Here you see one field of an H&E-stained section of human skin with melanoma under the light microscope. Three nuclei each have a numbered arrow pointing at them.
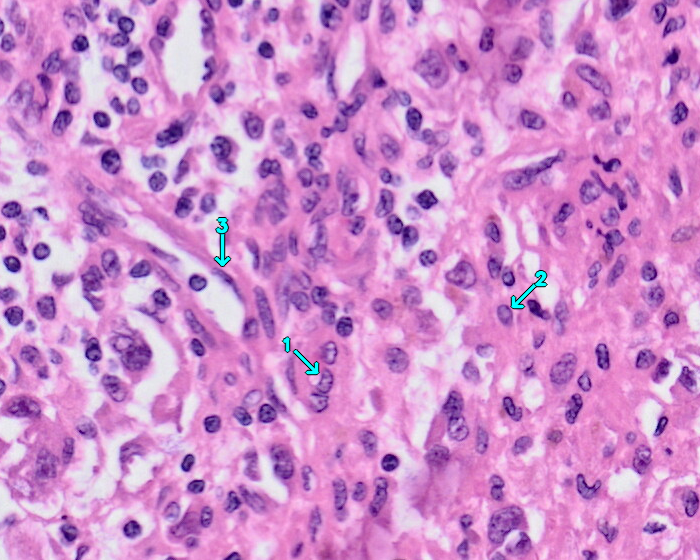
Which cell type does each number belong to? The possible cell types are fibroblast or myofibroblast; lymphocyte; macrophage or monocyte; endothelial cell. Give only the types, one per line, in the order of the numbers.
endothelial cell
macrophage or monocyte
endothelial cell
